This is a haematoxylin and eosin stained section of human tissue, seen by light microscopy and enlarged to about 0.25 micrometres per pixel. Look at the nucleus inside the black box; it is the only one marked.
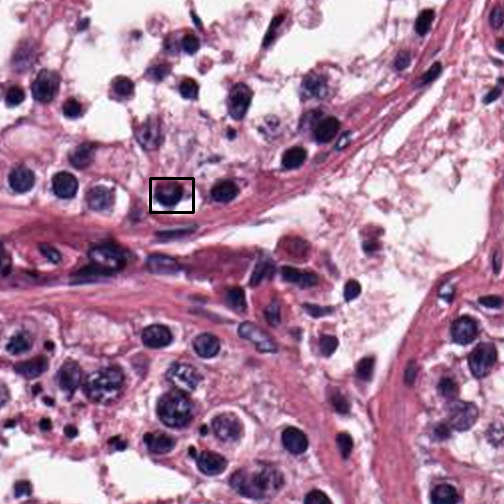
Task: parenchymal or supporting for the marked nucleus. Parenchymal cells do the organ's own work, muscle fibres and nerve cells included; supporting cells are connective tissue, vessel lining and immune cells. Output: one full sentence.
The marked nucleus is owned by a parenchymal cell, in this case a spermatogonium.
